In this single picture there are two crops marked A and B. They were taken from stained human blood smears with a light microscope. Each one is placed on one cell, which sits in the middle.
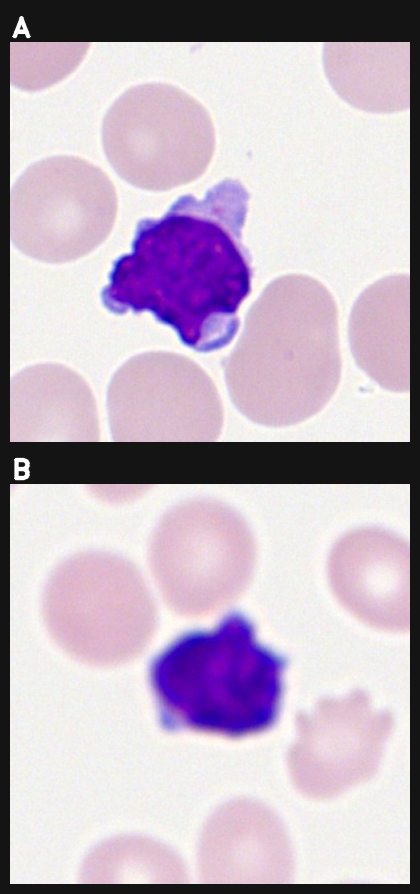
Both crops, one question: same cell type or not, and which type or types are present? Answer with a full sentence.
Yes, in the two crops, lymphocytes are the cells at the centre.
